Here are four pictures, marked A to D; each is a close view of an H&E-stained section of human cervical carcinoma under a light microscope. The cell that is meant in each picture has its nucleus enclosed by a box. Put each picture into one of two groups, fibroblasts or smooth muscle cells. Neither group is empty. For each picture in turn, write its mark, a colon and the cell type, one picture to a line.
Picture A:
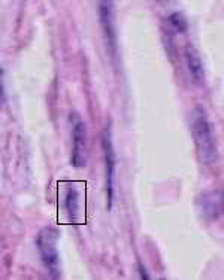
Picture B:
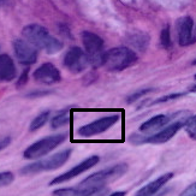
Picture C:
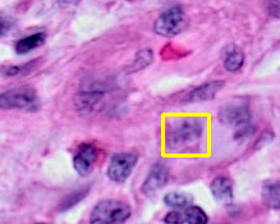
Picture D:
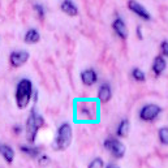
A: fibroblast
B: fibroblast
C: fibroblast
D: smooth muscle cell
